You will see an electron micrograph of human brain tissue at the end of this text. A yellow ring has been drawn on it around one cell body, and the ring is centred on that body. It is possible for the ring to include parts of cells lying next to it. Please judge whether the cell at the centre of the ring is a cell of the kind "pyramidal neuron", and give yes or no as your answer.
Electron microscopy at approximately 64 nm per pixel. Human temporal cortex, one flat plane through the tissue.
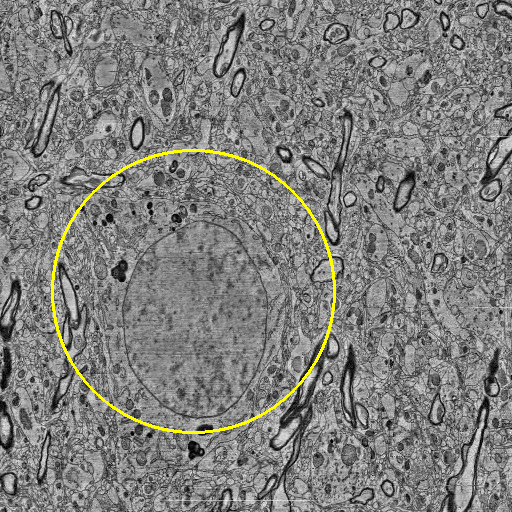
yes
